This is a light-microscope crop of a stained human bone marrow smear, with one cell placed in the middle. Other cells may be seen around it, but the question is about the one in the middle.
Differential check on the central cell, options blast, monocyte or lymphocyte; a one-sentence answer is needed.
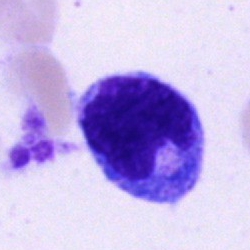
The middle of this crop is occupied by a monocyte.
